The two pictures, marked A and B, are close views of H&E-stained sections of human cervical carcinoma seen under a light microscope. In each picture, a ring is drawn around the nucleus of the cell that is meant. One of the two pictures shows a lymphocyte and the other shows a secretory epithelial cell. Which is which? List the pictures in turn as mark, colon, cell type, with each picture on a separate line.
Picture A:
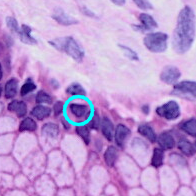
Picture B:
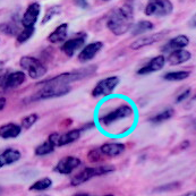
A: secretory epithelial cell
B: lymphocyte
